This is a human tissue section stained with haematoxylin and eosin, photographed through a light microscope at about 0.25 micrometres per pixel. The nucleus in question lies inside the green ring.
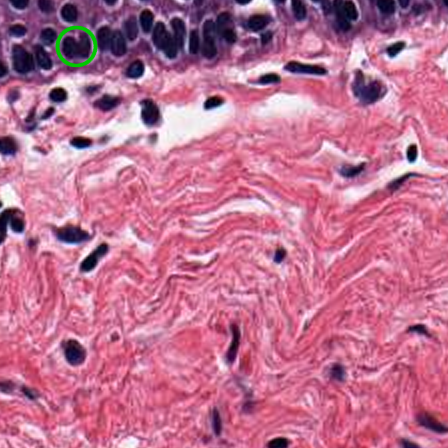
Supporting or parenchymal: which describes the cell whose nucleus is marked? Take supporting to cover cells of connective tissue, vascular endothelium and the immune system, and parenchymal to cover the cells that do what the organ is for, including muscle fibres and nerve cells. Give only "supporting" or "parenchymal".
parenchymal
